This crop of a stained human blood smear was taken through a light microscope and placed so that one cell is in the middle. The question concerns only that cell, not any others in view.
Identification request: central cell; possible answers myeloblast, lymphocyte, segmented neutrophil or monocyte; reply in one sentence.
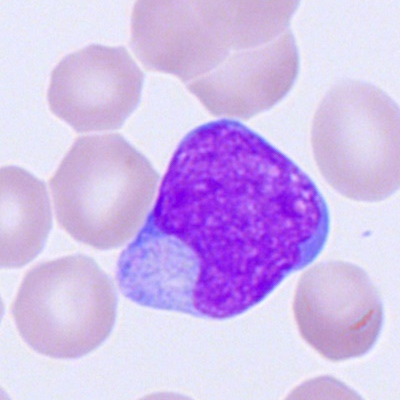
At the middle of the frame sits a myeloblast.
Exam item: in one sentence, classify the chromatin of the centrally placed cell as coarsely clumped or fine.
Heads up, the chromatin in this one is coarsely clumped.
